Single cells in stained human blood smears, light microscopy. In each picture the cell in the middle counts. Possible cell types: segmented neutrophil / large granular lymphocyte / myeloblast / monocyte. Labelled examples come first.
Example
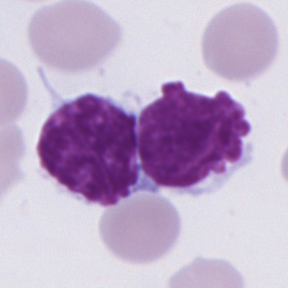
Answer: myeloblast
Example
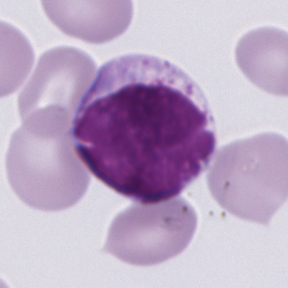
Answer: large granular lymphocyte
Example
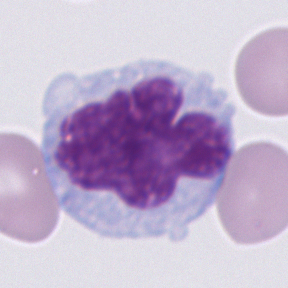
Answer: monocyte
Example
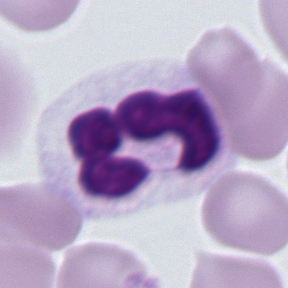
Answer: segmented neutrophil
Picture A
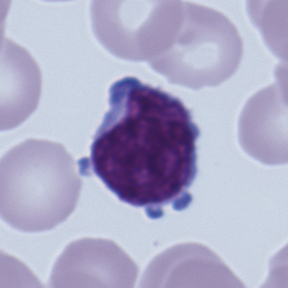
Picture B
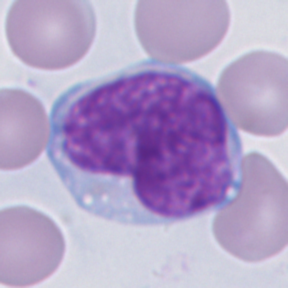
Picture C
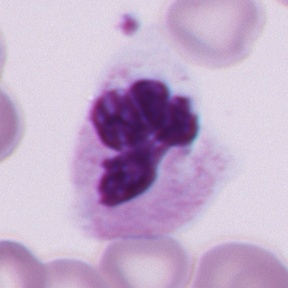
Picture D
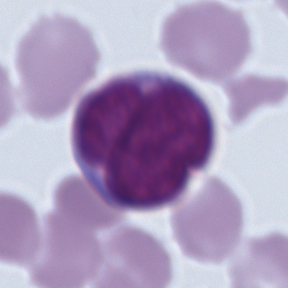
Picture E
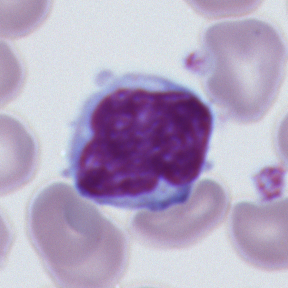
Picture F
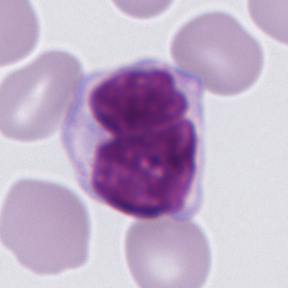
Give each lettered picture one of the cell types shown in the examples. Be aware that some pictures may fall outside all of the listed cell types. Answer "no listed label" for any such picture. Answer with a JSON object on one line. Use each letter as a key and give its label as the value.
{"A": "no listed label", "B": "myeloblast", "C": "segmented neutrophil", "D": "myeloblast", "E": "no listed label", "F": "large granular lymphocyte"}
